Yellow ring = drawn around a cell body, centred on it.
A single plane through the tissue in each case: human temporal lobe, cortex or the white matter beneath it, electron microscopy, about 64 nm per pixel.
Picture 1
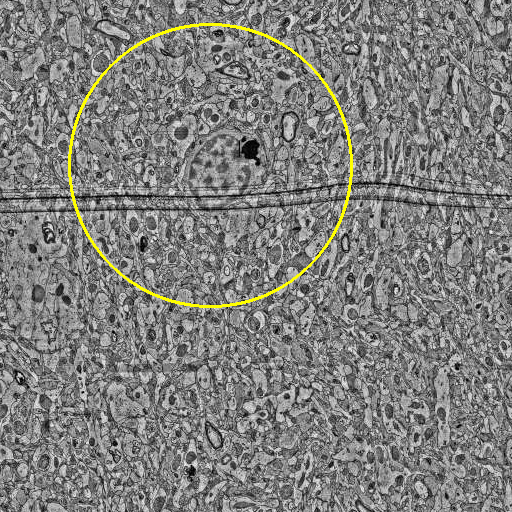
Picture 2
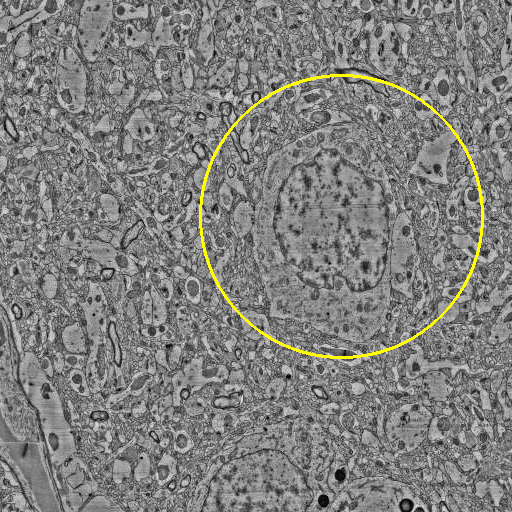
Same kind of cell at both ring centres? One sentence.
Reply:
No, they are two kinds of cell.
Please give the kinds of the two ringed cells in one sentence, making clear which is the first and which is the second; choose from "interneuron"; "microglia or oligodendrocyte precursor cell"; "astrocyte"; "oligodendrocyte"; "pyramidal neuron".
In the second picture the ringed cell is an interneuron; in the first it is an oligodendrocyte.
